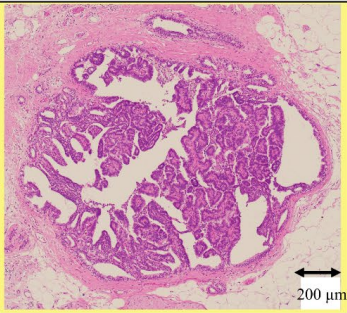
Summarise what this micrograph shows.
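A single rounded duct within fatty breast tissue is filled by proliferating atypical cells. The cells form interlacing papillary and bridging structures separated by slit-like clear spaces, with dark purple nuclei. A pink fibrous rim surrounds the duct, with pale fat cells outside it.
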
